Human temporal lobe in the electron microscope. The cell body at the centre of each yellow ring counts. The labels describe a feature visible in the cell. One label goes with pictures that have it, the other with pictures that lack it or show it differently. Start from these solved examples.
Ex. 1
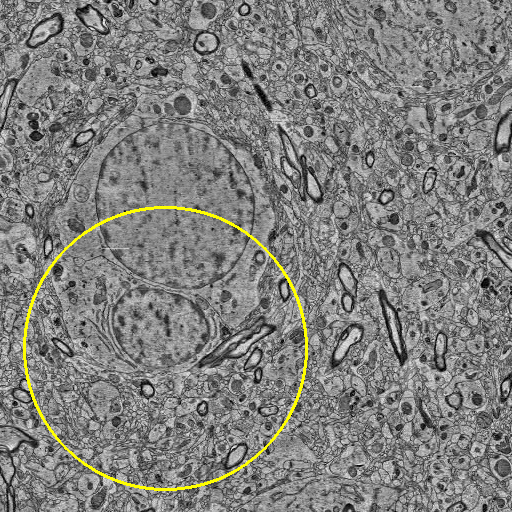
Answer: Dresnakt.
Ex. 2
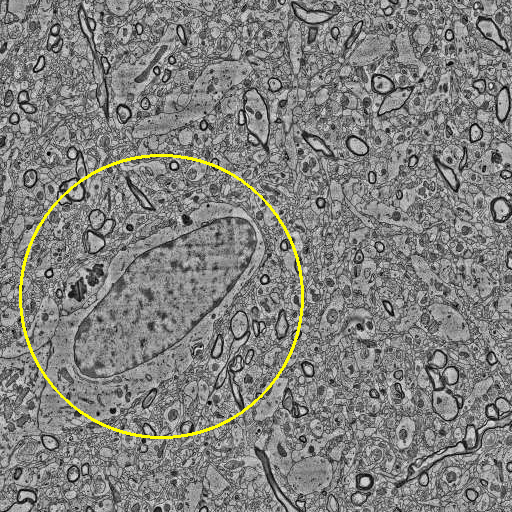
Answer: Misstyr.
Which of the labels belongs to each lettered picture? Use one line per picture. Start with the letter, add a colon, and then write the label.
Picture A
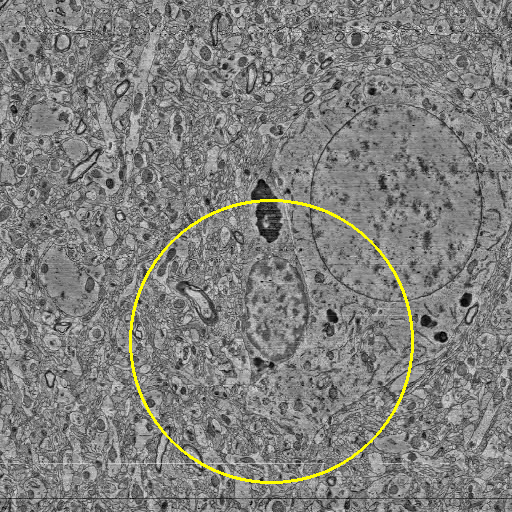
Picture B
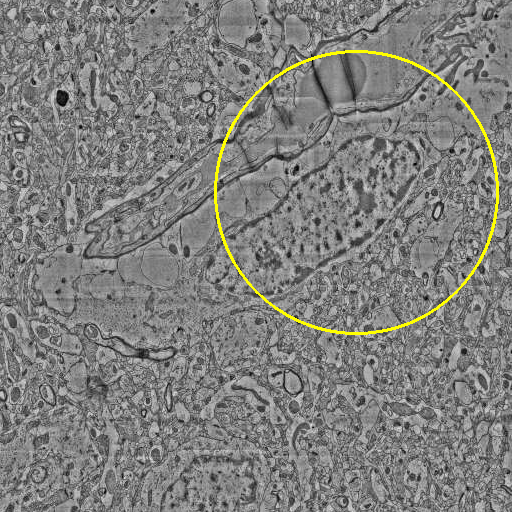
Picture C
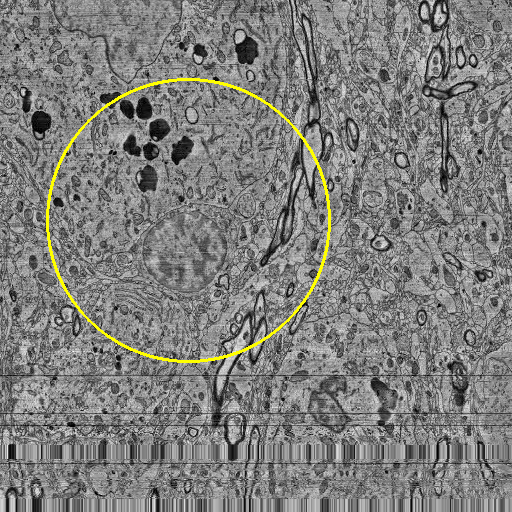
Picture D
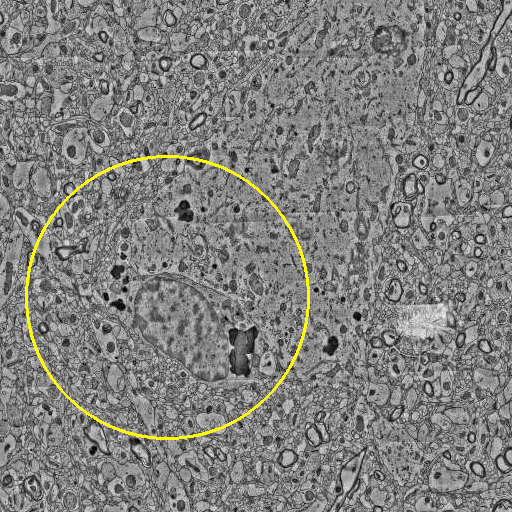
A: Misstyr.
B: Misstyr.
C: Dresnakt.
D: Misstyr.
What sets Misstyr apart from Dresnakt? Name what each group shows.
Misstyr, clearly elongated nuclei; Dresnakt, round or nearly round nuclei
